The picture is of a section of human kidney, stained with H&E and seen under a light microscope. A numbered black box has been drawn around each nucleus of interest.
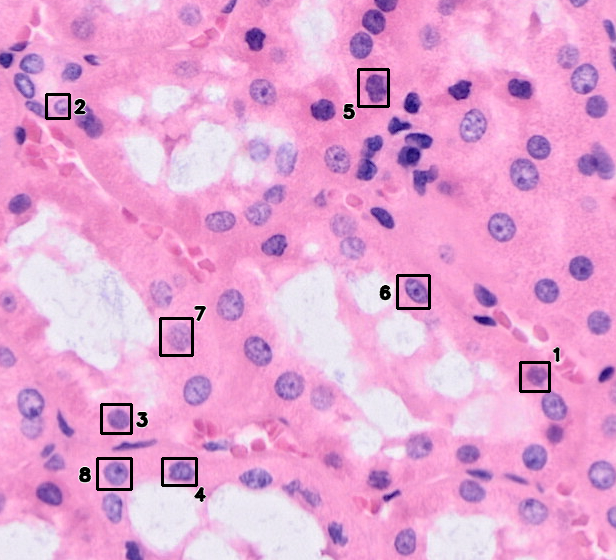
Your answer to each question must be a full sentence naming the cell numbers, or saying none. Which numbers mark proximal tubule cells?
Cells 1, 3, 5, 6 and 7 are recognised here as proximal tubule cells.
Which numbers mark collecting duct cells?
It is only cell 2 that is a collecting duct cell among the numbered cells.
